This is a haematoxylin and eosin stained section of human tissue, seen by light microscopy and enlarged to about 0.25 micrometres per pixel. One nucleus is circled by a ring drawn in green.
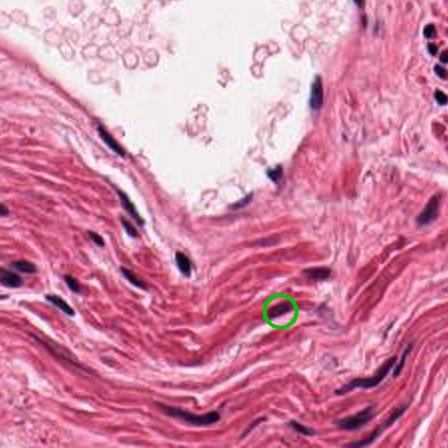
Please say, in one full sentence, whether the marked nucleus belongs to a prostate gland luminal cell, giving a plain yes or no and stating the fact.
No, what is marked here is not the nucleus of a prostate gland luminal cell.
